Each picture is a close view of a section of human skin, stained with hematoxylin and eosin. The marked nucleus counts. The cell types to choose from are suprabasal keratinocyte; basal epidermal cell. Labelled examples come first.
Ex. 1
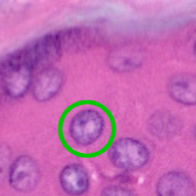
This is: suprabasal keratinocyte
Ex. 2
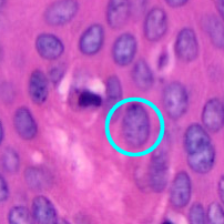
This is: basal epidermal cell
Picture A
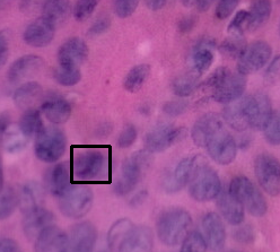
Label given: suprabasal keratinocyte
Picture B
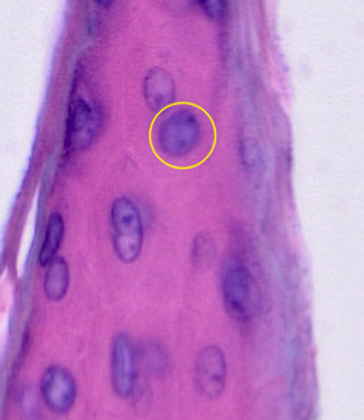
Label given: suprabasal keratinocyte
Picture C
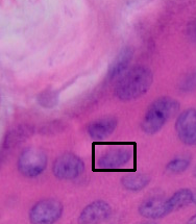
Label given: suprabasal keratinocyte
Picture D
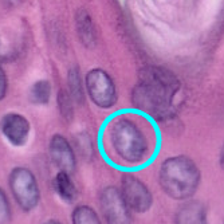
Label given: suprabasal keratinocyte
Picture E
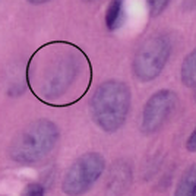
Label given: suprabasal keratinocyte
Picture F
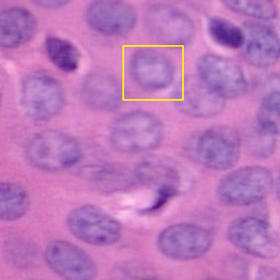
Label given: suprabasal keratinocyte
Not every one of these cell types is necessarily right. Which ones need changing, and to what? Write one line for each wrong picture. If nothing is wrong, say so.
Wrong: A (suprabasal keratinocyte); correct: basal epidermal cell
